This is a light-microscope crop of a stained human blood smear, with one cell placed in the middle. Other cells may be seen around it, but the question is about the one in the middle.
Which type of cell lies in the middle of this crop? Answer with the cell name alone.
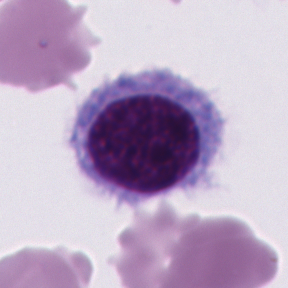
hairy cell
